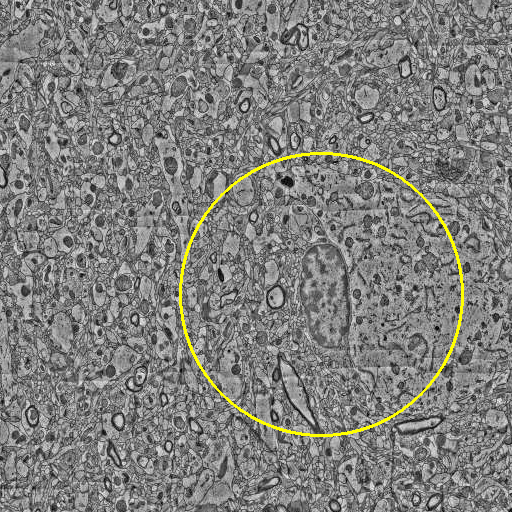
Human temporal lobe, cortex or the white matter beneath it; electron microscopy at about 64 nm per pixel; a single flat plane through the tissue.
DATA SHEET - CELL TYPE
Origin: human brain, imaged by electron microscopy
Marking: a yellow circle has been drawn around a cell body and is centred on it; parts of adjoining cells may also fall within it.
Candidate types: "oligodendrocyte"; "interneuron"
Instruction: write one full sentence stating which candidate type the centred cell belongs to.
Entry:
The cell body at the centre of the yellow ring in this micrograph belongs to an oligodendrocyte.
